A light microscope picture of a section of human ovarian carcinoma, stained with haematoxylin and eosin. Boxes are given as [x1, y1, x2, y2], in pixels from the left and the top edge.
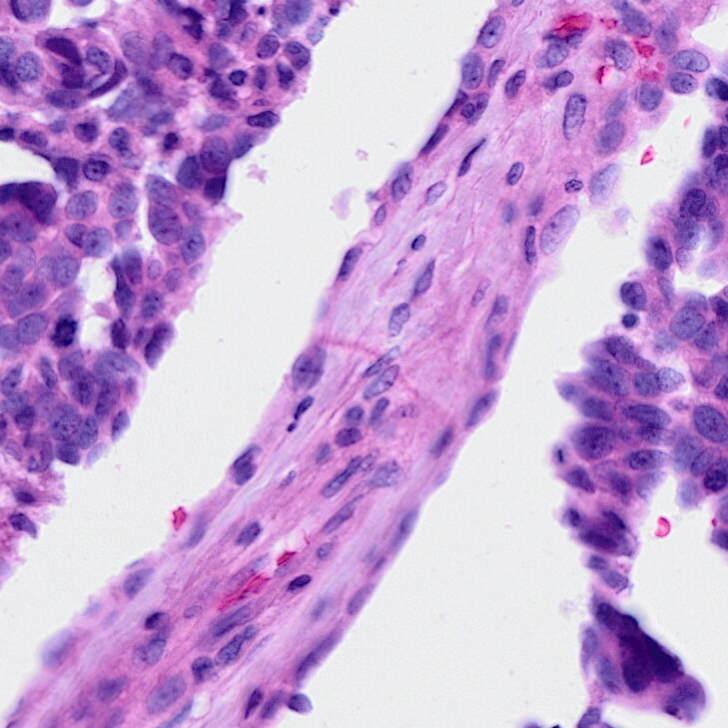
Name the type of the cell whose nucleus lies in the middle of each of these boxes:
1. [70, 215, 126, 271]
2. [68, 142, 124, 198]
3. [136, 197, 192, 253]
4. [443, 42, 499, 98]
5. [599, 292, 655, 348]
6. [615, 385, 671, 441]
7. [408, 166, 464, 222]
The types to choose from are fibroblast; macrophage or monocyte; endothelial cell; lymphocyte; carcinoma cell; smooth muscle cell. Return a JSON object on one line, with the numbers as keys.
{"1": "carcinoma cell", "2": "macrophage or monocyte", "3": "carcinoma cell", "4": "carcinoma cell", "5": "lymphocyte", "6": "carcinoma cell", "7": "fibroblast"}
